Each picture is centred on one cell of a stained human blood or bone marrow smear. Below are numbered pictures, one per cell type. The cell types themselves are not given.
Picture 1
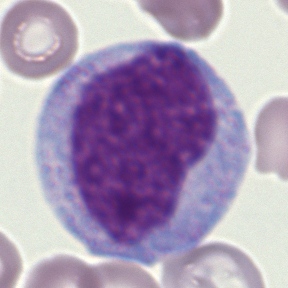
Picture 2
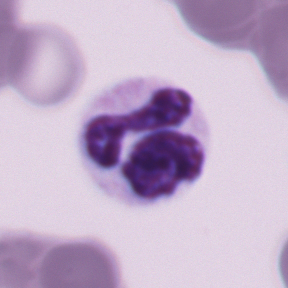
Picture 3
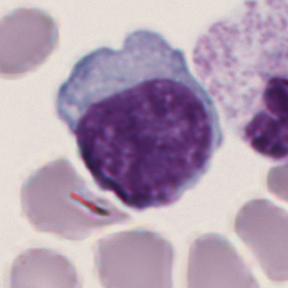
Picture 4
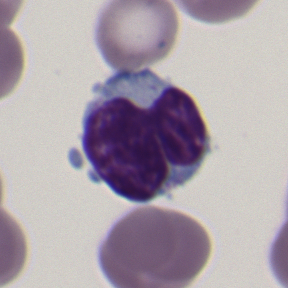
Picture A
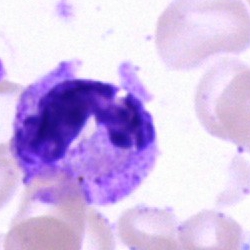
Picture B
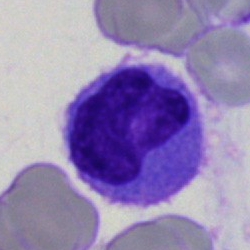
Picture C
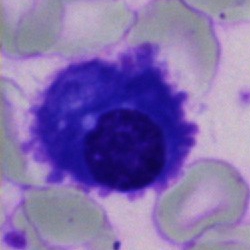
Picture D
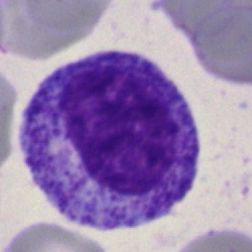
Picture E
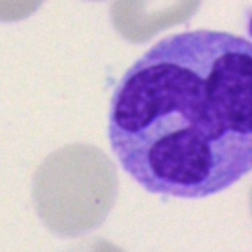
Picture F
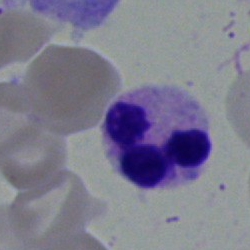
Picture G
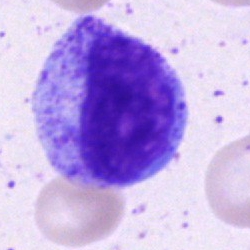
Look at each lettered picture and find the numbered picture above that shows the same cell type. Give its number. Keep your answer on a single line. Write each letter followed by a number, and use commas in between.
A 2, B 4, C 3, D 1, E 4, F 2, G 1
